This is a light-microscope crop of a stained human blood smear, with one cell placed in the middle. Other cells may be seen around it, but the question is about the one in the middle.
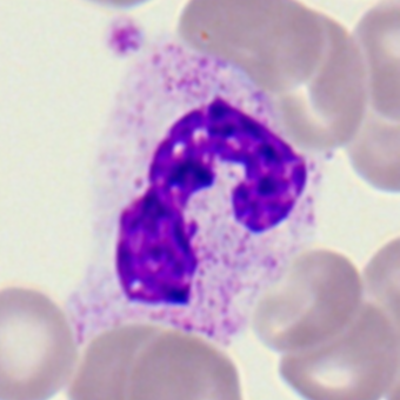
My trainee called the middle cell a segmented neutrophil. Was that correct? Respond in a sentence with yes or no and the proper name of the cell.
Yes, the cell right in the middle is a segmented neutrophil.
